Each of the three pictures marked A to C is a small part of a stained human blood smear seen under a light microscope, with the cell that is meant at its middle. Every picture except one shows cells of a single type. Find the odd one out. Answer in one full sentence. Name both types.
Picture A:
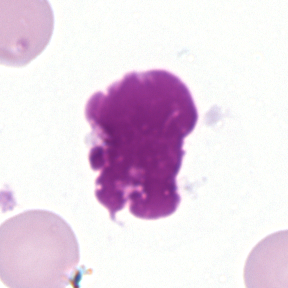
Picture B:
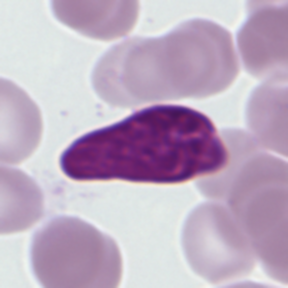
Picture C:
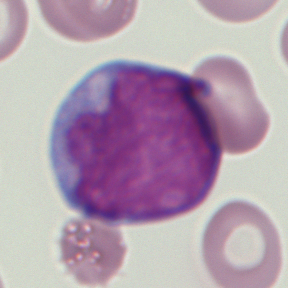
The others show smudge cells, but picture C shows a myeloblast.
